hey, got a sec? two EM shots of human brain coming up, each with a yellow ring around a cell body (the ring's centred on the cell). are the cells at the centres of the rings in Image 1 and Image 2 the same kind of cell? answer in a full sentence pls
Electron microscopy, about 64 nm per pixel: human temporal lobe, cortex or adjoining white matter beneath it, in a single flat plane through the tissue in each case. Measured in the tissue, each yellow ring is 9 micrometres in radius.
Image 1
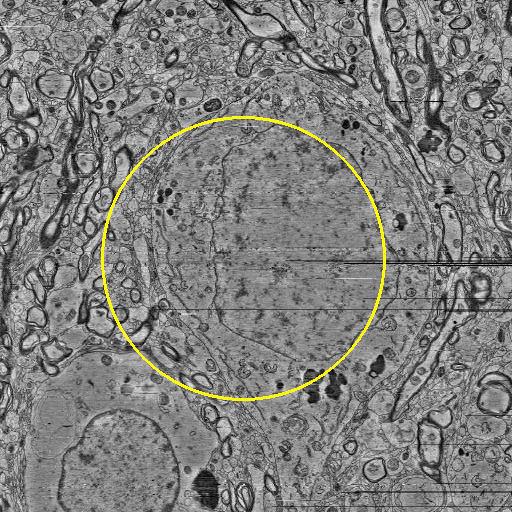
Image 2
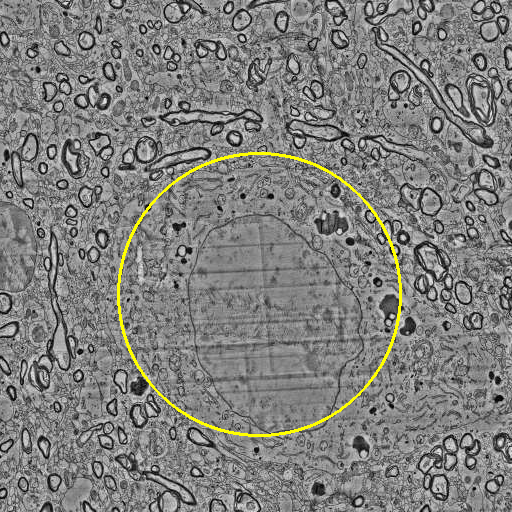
Yes, both are the same kind of cell.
